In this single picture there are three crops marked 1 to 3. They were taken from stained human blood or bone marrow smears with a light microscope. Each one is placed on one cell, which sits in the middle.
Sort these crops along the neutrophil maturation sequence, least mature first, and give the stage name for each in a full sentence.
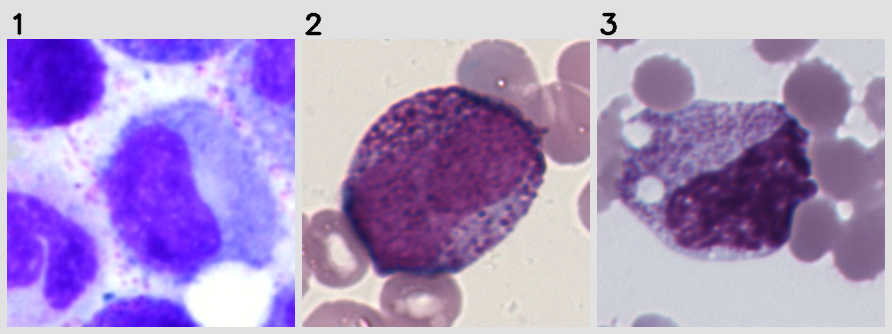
When lined up from least to most mature, the crops are crop 2 (a promyelocyte), crop 3 (a myelocyte) and crop 1 (a metamyelocyte).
